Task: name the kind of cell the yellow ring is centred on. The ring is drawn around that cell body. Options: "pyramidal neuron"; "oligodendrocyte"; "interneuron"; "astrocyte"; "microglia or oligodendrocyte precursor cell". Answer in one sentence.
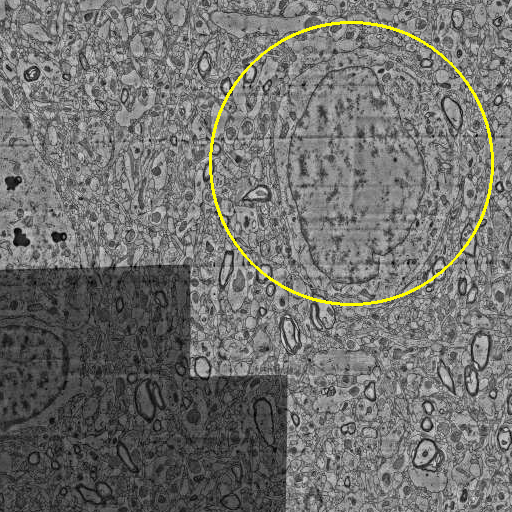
This cell body belongs to a pyramidal neuron.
